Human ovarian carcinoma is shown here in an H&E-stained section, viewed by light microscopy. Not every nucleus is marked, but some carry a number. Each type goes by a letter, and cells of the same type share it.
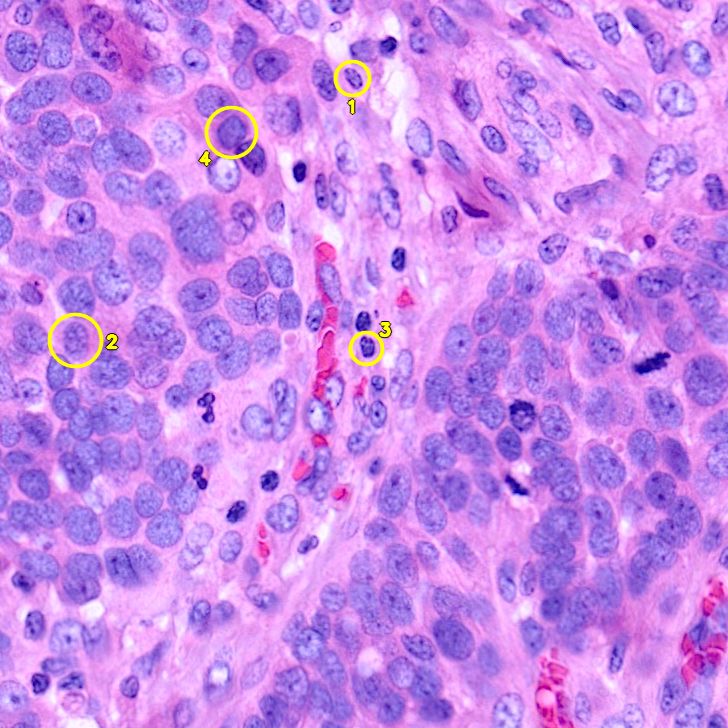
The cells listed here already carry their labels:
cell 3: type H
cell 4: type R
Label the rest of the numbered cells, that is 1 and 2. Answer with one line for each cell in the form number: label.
1: type H
2: type R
